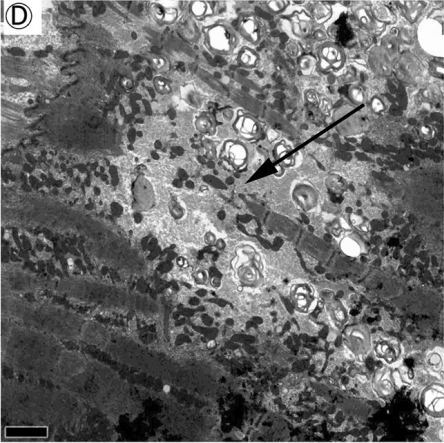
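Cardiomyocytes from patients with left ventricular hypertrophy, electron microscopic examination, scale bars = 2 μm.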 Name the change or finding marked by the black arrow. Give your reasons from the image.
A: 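A pale zone without striated myofibrils in the middle of the cell. Intact striated myofibrils border the pale zone. Scattered dark mitochondria and laminated inclusions lie in the pale zone.
Answer: Focal loss of myofilament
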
